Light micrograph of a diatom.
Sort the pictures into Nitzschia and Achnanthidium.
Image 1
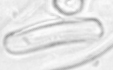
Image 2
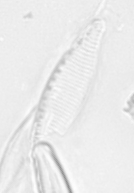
Achnanthidium: 1
Nitzschia: 2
